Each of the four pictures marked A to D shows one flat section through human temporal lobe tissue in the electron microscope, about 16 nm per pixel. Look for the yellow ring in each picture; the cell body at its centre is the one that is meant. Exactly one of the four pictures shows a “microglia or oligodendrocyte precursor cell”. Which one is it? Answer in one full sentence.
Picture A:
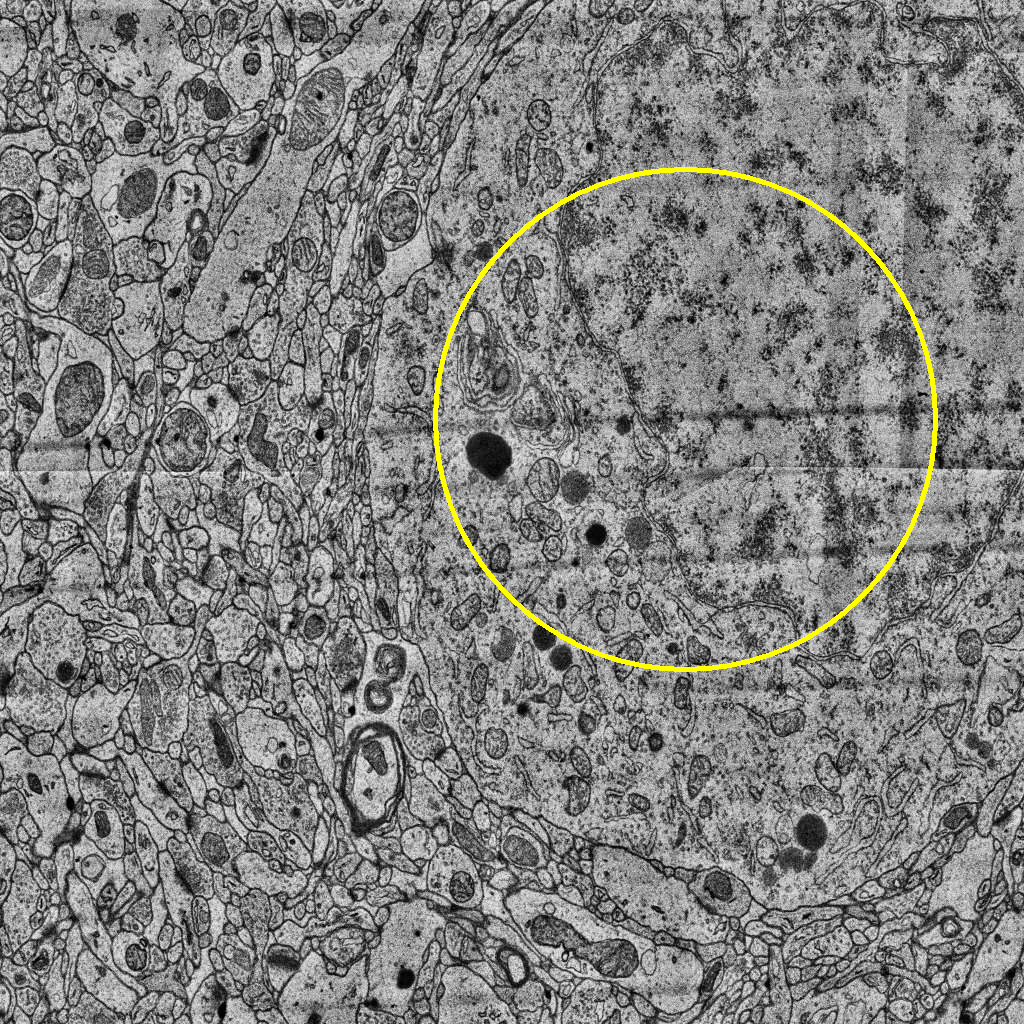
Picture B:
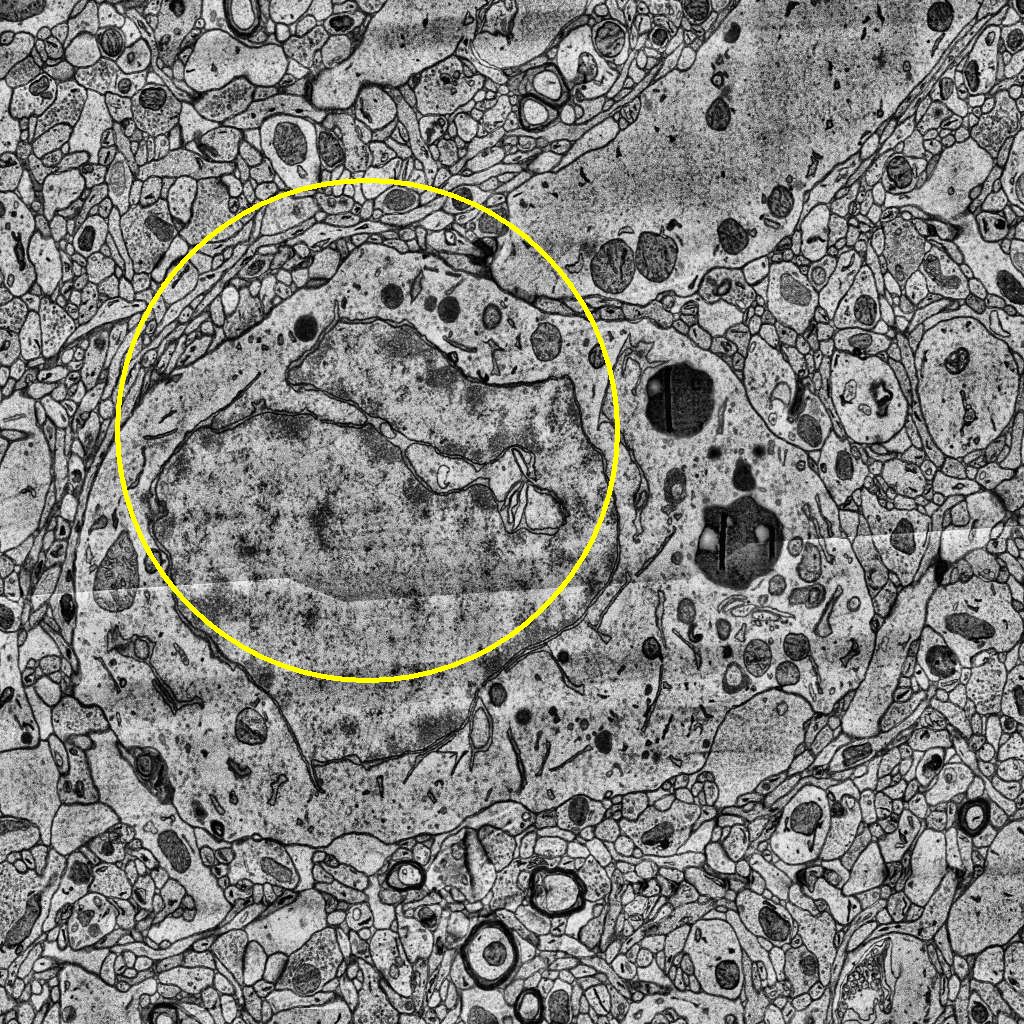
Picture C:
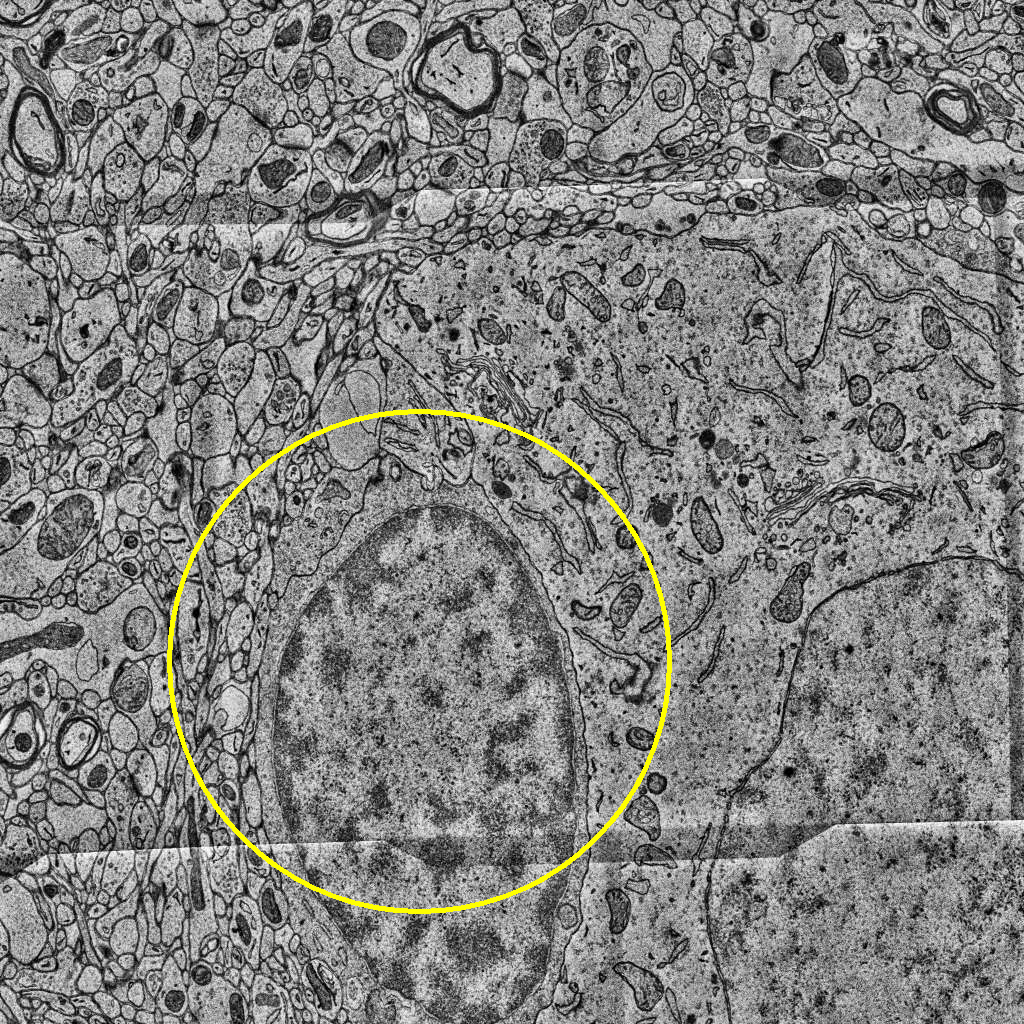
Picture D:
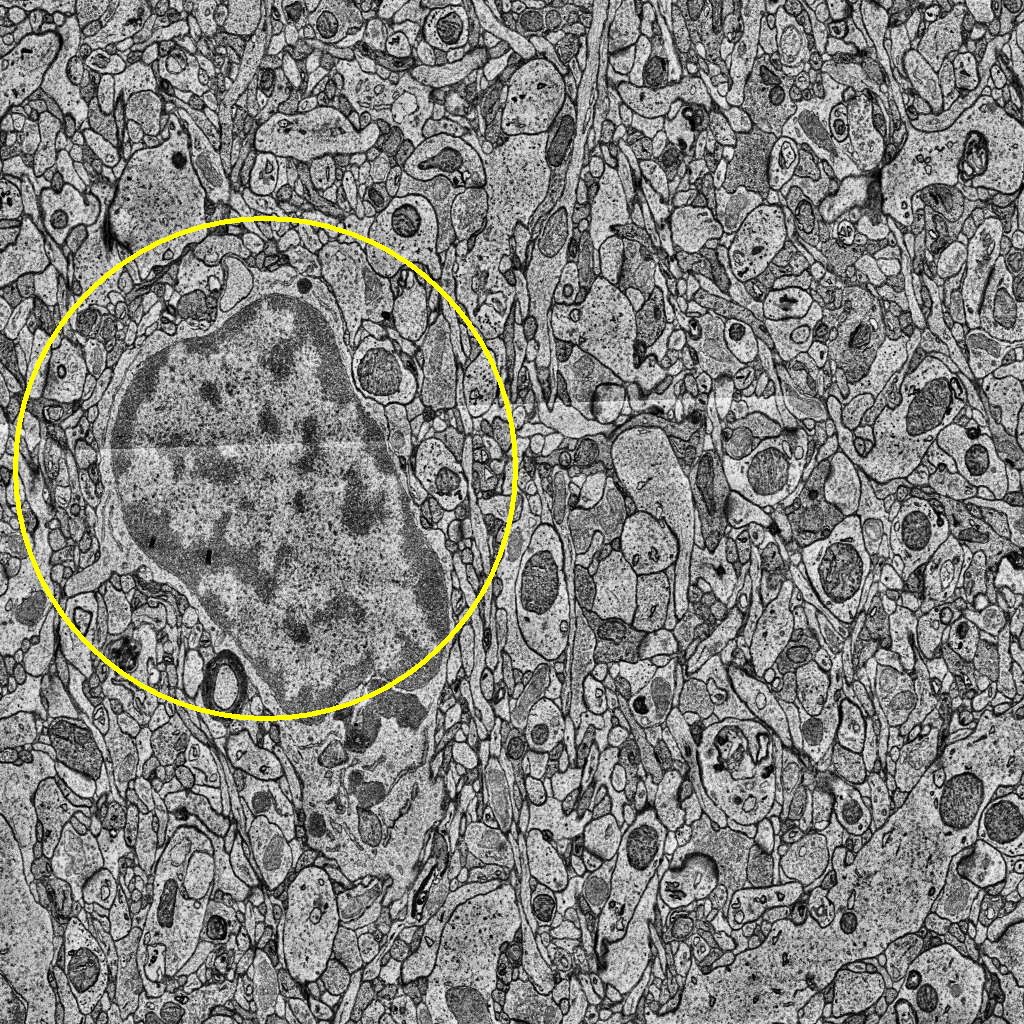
Picture D shows the “microglia or oligodendrocyte precursor cell”.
